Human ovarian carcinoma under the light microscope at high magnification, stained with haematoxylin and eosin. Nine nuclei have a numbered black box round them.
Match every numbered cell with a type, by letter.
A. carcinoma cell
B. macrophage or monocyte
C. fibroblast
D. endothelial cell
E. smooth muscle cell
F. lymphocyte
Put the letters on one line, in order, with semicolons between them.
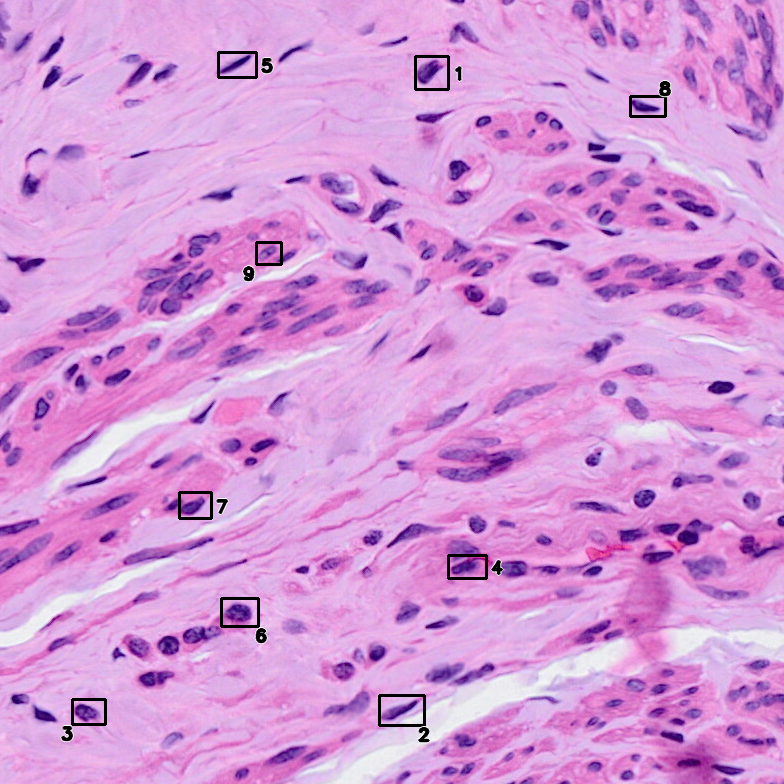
C; C; F; D; C; F; E; C; E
